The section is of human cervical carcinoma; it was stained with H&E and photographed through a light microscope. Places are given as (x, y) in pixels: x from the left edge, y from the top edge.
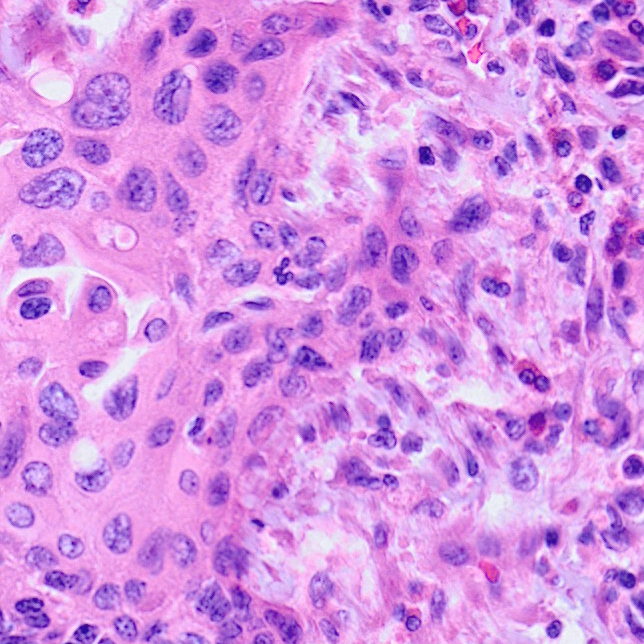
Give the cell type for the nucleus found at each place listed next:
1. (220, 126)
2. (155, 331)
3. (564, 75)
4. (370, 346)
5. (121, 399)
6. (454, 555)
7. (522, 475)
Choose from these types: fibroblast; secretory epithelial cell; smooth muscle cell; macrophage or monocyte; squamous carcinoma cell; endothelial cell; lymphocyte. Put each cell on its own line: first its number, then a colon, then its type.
1: squamous carcinoma cell
2: squamous carcinoma cell
3: lymphocyte
4: squamous carcinoma cell
5: squamous carcinoma cell
6: endothelial cell
7: fibroblast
